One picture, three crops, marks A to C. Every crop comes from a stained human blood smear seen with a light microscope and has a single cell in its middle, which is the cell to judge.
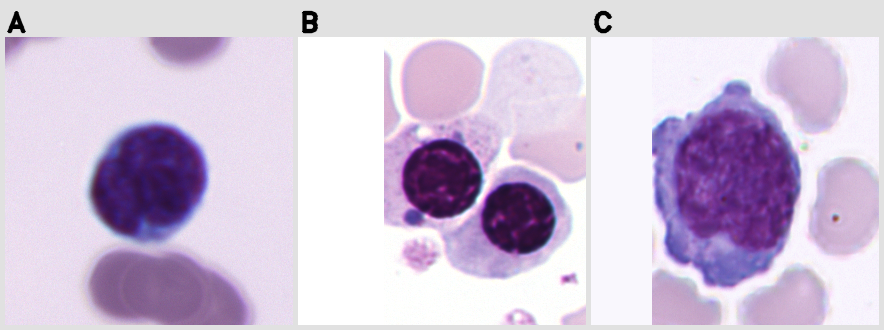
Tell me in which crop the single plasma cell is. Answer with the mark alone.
C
